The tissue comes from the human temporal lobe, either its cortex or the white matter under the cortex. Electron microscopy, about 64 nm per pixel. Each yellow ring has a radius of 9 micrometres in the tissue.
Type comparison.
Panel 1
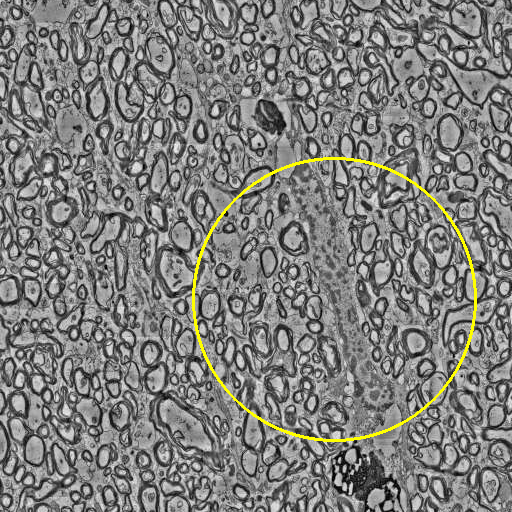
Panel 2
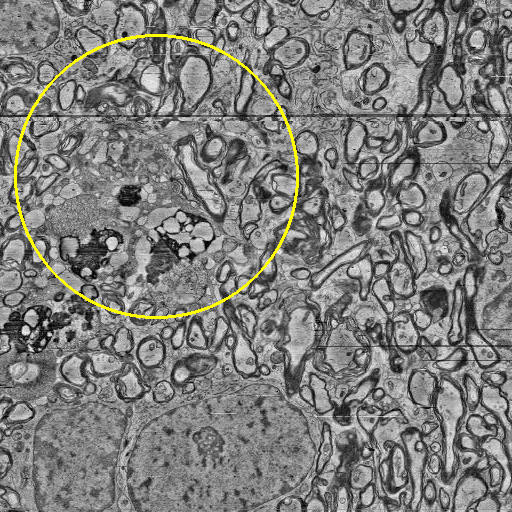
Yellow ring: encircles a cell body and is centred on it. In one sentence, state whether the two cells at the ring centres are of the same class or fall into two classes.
In these panels, the two cells at the ring centres are of the same class.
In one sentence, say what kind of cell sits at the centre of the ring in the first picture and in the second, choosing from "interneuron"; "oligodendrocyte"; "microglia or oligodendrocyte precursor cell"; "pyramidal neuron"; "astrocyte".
The cell in the first picture is an astrocyte, and so is the one in the second.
